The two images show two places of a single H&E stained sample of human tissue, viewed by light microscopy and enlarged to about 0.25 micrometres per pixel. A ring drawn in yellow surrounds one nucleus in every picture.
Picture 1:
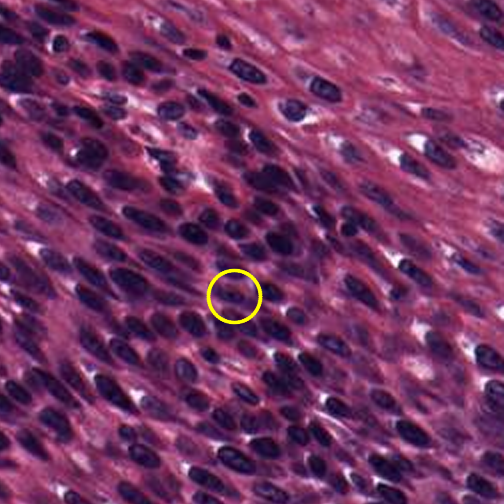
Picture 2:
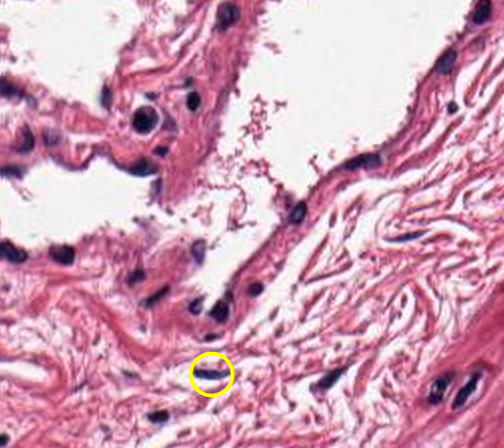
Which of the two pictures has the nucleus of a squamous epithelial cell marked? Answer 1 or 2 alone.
1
